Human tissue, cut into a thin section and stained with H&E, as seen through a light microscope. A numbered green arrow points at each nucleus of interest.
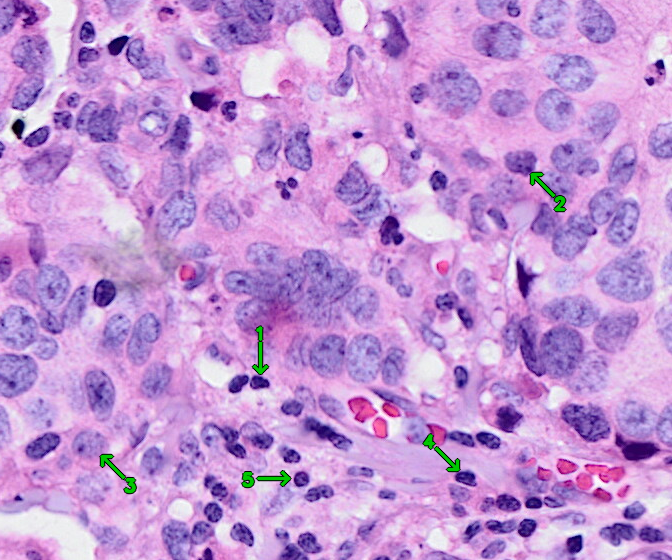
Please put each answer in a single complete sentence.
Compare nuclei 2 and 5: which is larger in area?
Number 2 is larger; its area is about 2.5 times that of number 5.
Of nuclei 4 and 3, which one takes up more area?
It is nucleus 3, which covers about 2.5 times the area of nucleus 4.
